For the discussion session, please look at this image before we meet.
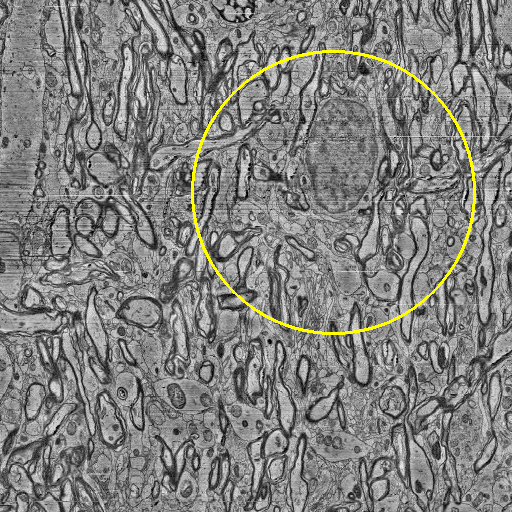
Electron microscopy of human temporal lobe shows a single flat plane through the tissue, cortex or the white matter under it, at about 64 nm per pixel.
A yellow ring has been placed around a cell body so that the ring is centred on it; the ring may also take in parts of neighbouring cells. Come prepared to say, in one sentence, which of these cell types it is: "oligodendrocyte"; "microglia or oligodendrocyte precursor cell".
The cell centred in the ring is an oligodendrocyte.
